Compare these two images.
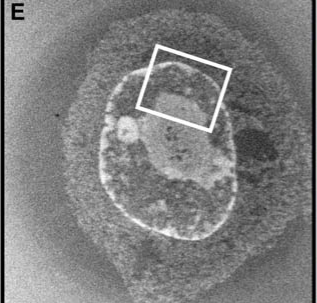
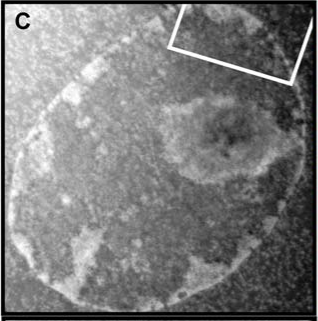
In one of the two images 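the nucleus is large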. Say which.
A: the second image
